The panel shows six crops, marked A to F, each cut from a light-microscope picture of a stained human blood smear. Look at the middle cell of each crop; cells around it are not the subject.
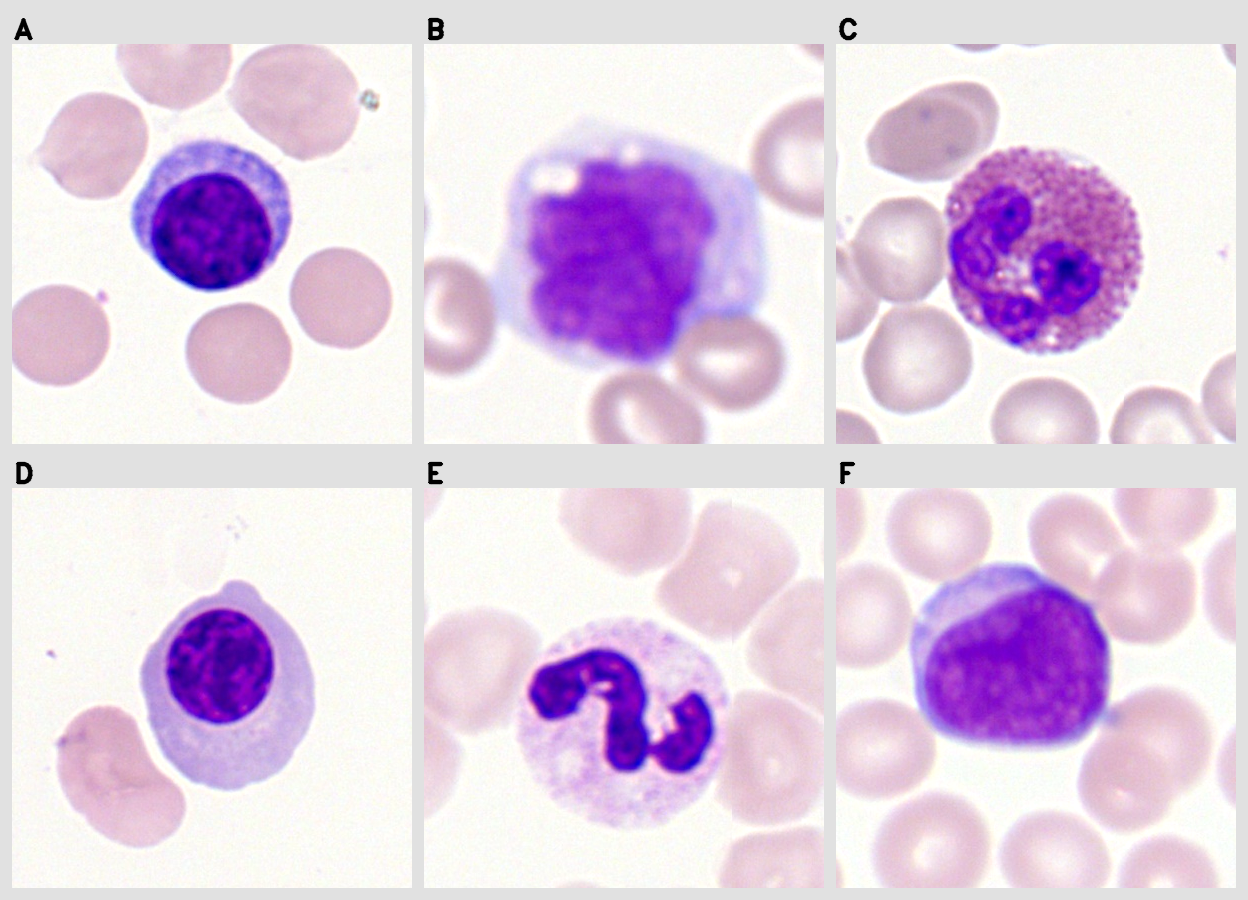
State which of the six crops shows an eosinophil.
C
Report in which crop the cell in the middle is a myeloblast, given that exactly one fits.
F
